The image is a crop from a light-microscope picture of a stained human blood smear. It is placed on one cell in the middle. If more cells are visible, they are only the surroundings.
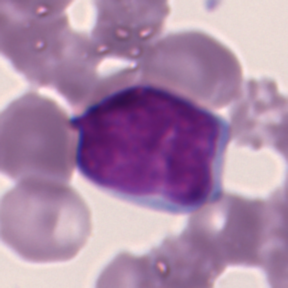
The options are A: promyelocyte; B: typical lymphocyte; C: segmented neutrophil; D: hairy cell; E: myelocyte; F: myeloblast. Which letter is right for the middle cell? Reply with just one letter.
F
